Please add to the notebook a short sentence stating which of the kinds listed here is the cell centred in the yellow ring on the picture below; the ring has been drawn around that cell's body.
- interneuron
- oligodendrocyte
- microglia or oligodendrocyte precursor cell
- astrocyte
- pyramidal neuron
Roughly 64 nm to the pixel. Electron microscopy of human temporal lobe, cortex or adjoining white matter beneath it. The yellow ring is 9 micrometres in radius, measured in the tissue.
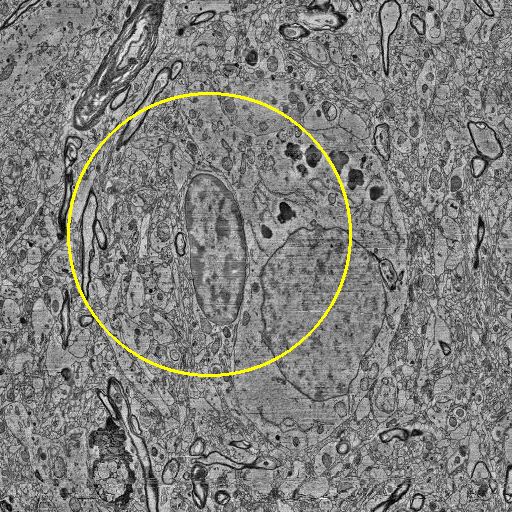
The cell centred in the yellow ring is a microglial cell or oligodendrocyte precursor cell.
